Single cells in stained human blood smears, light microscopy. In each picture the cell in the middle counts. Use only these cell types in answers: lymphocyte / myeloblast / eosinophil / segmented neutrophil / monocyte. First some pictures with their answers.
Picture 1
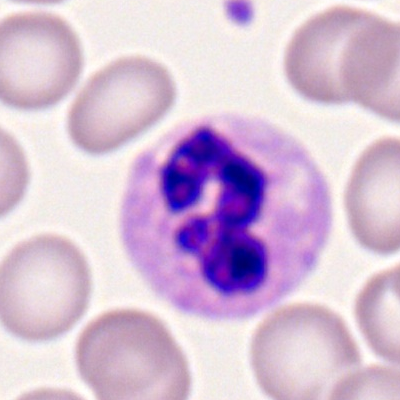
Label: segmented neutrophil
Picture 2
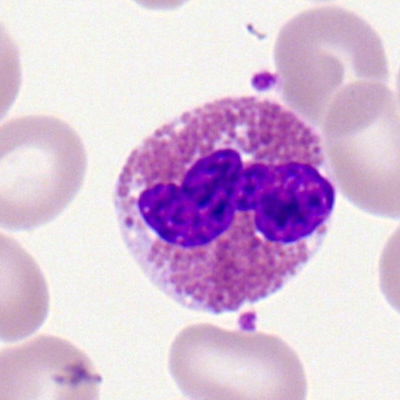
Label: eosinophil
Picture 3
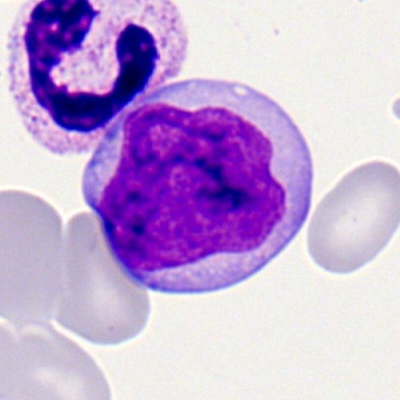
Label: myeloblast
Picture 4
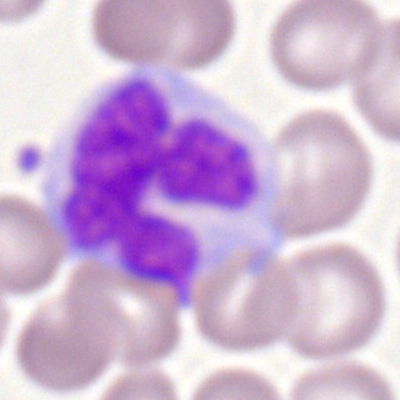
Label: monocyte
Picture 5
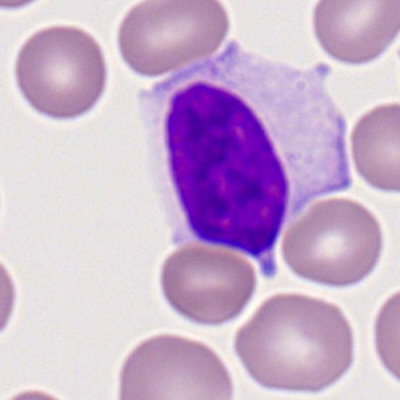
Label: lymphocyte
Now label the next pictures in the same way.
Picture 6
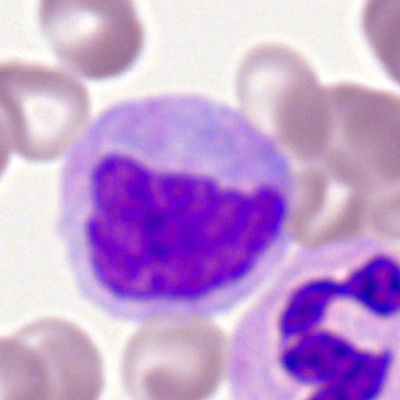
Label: monocyte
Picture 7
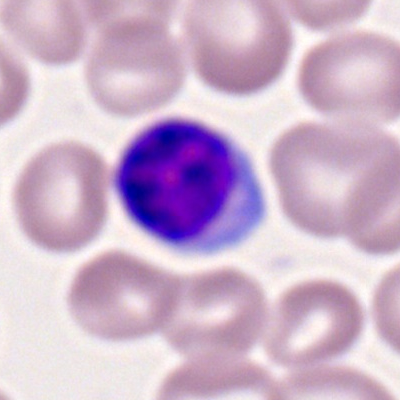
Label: lymphocyte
